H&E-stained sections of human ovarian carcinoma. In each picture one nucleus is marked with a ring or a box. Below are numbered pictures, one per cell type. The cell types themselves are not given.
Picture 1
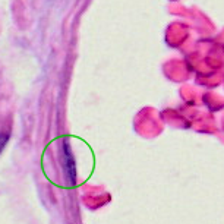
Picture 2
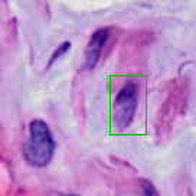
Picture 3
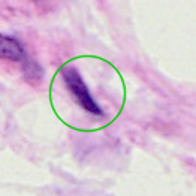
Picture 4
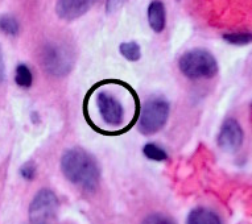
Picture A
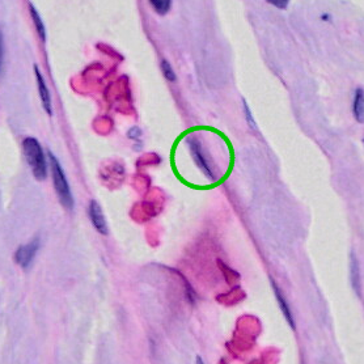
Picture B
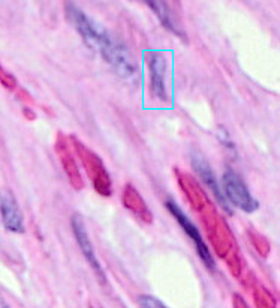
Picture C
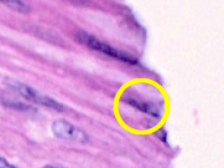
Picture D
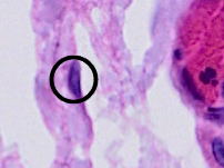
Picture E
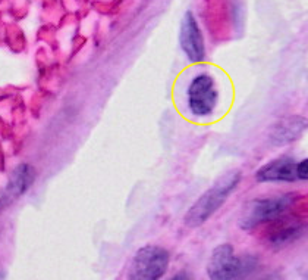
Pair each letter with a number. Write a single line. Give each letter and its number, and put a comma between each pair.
A 1, B 3, C 3, D 3, E 4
